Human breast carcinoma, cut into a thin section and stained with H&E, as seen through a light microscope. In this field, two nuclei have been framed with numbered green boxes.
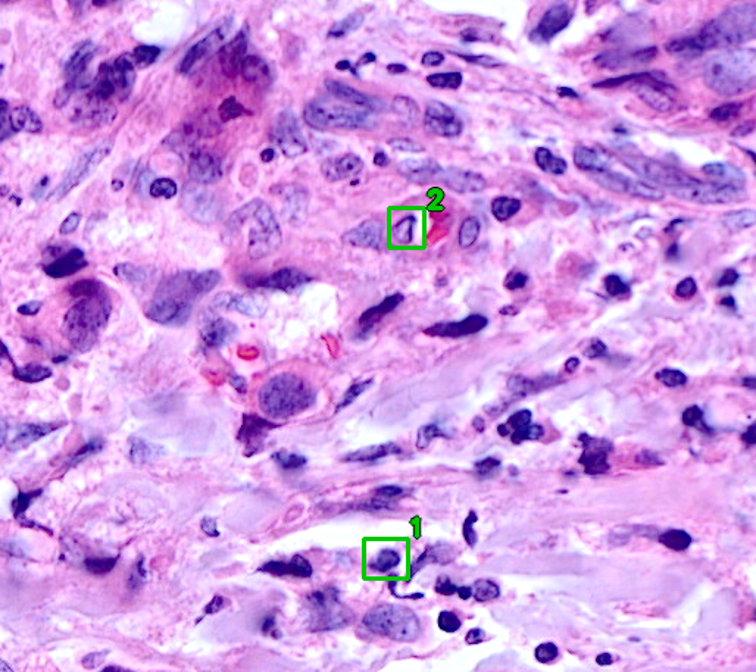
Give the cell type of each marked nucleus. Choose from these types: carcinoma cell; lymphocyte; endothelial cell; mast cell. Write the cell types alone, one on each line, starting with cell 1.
lymphocyte
endothelial cell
